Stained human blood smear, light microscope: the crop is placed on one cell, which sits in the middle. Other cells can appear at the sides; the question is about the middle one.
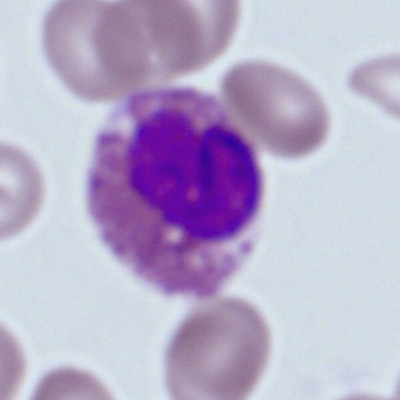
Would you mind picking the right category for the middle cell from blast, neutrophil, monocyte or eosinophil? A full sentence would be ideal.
The crop shows an eosinophil in its centre.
